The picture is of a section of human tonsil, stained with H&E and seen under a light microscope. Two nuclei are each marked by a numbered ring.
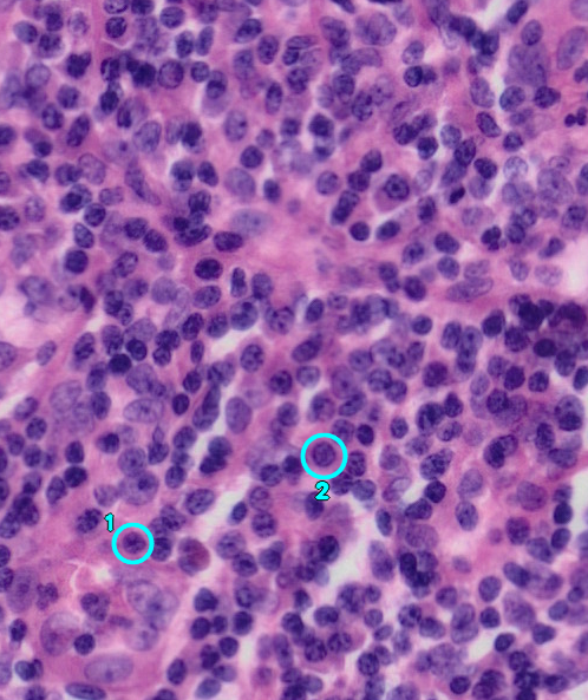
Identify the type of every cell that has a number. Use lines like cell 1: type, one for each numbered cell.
cell 1: endothelial cell
cell 2: plasma cell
